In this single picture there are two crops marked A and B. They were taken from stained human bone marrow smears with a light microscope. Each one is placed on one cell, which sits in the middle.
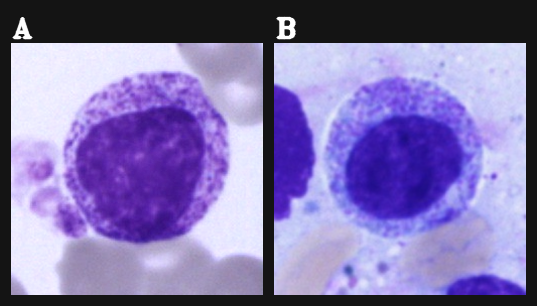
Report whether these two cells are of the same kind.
yes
